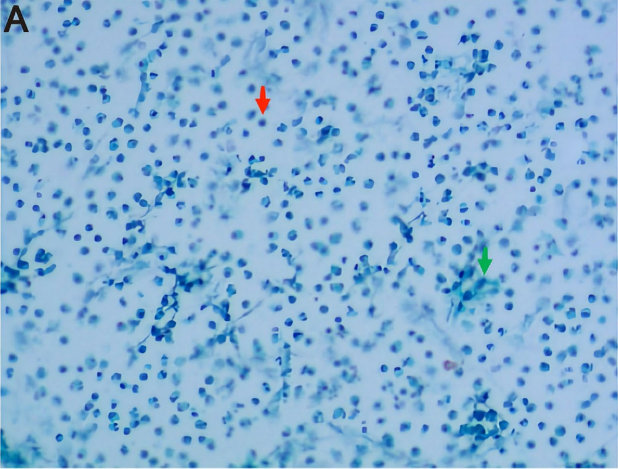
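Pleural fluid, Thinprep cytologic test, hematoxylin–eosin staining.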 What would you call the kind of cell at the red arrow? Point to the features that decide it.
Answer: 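Many small round cells with dark compact nuclei are scattered evenly across the field. The cells are small and uniform, lying singly. The answer: inflammatory cells.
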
